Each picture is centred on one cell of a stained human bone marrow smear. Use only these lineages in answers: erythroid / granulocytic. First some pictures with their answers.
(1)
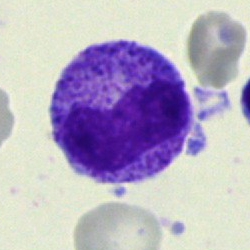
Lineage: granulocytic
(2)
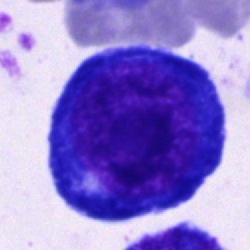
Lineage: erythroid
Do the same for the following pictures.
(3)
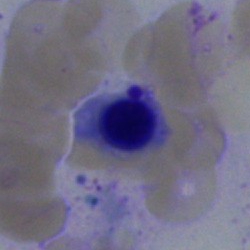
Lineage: erythroid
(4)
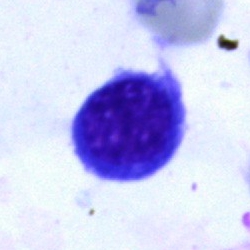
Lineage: erythroid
